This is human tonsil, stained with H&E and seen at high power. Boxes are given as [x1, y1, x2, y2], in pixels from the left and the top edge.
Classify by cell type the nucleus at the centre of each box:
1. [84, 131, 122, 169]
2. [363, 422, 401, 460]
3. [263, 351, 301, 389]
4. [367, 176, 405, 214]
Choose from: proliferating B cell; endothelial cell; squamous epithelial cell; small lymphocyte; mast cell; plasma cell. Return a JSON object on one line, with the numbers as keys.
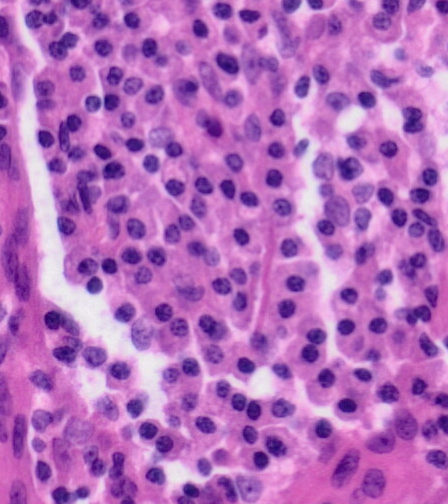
{"1": "plasma cell", "2": "squamous epithelial cell", "3": "plasma cell", "4": "plasma cell"}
